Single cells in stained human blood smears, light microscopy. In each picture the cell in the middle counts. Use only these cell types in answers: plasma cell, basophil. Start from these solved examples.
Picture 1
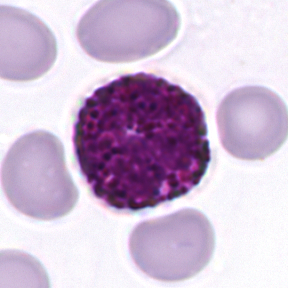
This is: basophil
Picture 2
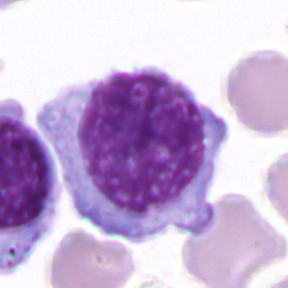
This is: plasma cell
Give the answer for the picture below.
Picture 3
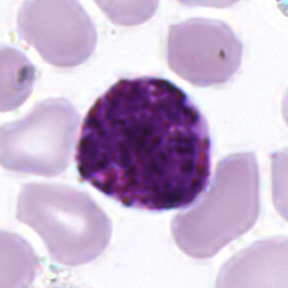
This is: basophil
